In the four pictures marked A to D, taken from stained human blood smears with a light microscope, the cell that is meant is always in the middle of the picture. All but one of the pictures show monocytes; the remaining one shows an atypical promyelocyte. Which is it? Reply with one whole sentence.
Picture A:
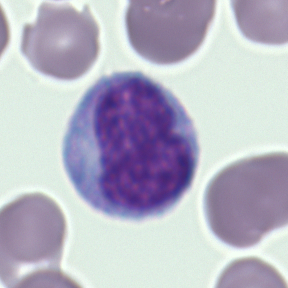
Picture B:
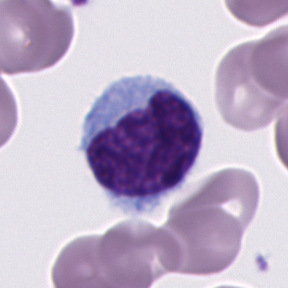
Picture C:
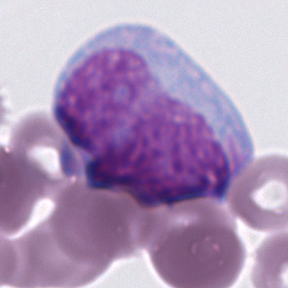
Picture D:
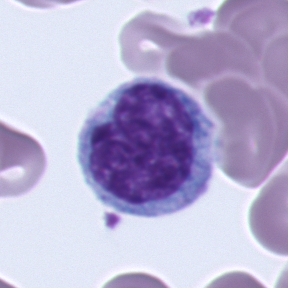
The cell in picture C is the atypical promyelocyte.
